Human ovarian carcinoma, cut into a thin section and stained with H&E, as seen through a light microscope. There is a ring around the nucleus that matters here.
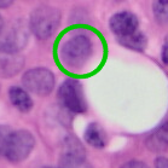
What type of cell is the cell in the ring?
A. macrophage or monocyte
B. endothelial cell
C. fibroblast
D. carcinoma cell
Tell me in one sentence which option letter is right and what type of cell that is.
Option D is the one that fits, as the cell in the ring is a carcinoma cell.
